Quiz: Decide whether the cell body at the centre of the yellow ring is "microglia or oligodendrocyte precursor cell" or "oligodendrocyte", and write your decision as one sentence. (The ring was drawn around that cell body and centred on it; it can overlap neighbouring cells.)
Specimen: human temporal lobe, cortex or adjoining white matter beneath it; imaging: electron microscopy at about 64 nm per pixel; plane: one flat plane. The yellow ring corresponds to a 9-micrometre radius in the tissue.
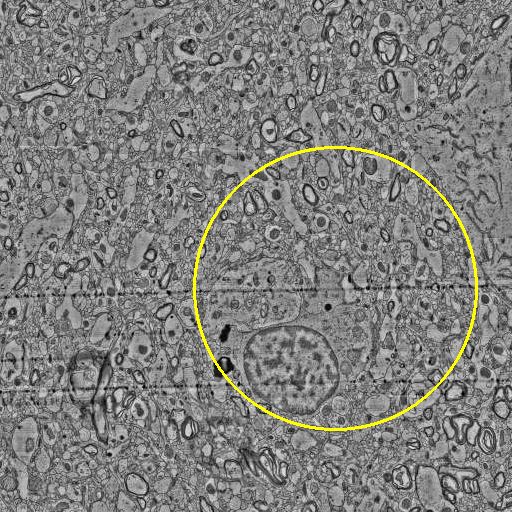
The cell the ring is centred on is an oligodendrocyte.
